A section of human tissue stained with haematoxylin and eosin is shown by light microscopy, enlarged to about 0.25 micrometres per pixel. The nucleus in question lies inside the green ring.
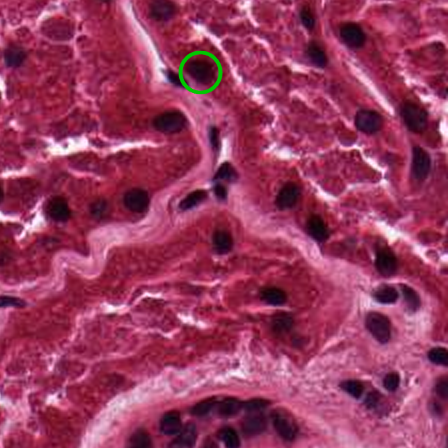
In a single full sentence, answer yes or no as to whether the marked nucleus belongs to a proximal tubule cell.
Yes, a proximal tubule cell is the owner of the marked nucleus.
